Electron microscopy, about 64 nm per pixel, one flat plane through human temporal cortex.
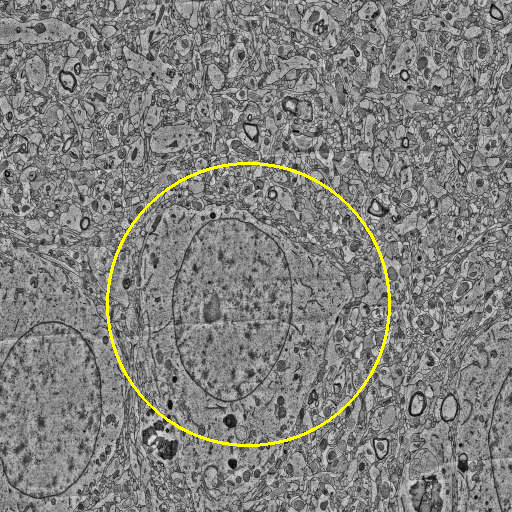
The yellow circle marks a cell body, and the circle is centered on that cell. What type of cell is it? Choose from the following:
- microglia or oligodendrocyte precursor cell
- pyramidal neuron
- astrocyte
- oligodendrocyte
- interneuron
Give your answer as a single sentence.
This cell body belongs to a pyramidal neuron.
